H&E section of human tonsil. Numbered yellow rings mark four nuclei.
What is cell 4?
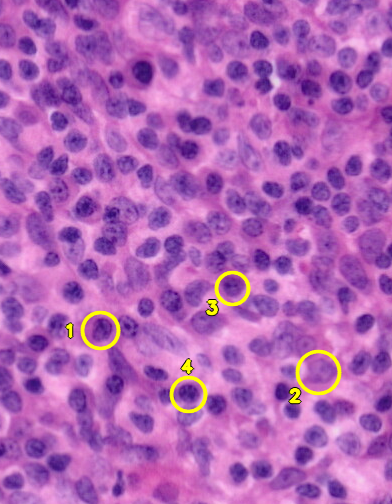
plasma cell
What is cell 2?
squamous epithelial cell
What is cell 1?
plasma cell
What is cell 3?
plasma cell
